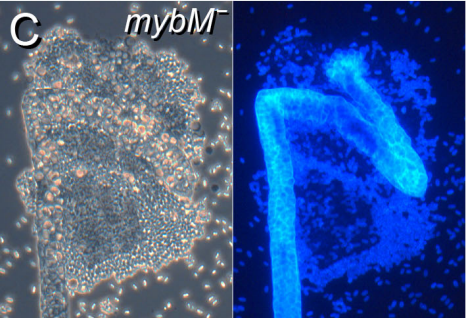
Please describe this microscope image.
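A spore head flattened on a slide: a broad, irregular mass of many small oval spores sits on the end of a stalk that enters from below. In phase contrast the mass is dense and granular, with loose spores scattered around it. In fluorescence the stalk is a long, evenly wide tube that glows bright blue and bends over at its top into the mass, while the individual spores appear as many small blue ovals, less bright, filling and surrounding the head.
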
